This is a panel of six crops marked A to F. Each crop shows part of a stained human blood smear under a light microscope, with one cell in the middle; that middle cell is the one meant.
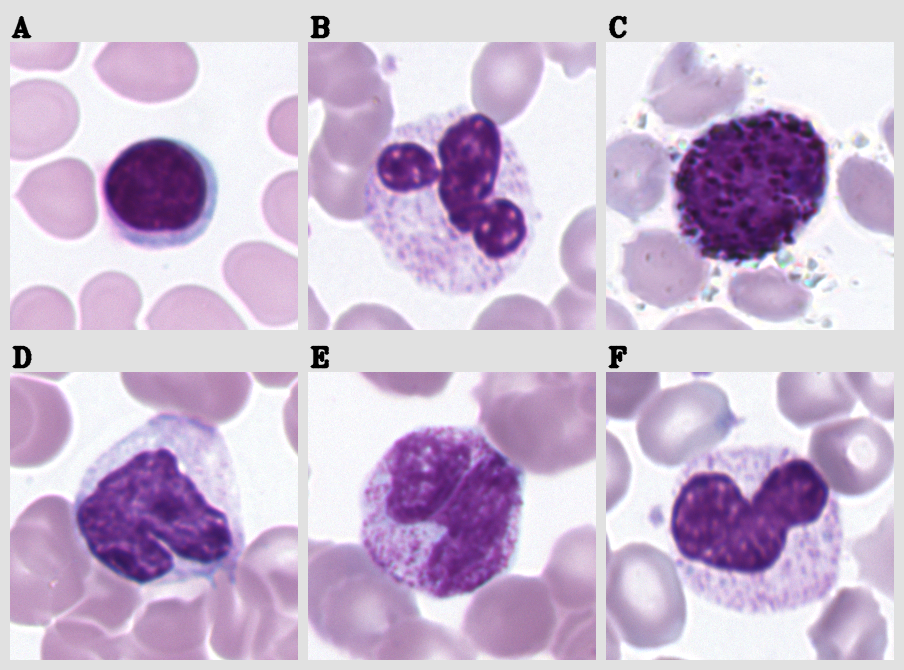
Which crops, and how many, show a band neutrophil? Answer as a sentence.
The crops that show band neutrophils number three and are D, E and F.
